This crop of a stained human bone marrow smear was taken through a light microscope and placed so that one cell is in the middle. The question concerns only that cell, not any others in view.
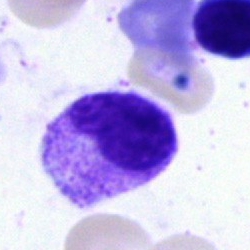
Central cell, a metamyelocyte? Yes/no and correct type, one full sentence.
Yes, the cell of interest in the middle is a metamyelocyte.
